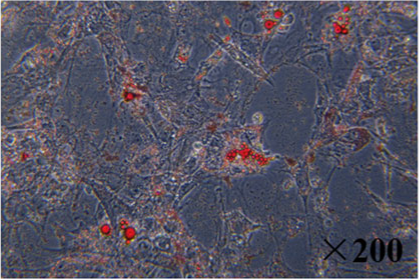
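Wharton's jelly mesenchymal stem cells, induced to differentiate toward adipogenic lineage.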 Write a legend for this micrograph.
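Within a minority of cells lie small, round, bright red droplets, spherical and refractile, sometimes single and sometimes grouped in small clusters near the cell body. Most of the cells in the field carry no droplets and keep a spread, fibroblast-like shape. Areas of fine reddish granularity are scattered between the cells, and some regions show open spaces where the cell layer is thinner.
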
